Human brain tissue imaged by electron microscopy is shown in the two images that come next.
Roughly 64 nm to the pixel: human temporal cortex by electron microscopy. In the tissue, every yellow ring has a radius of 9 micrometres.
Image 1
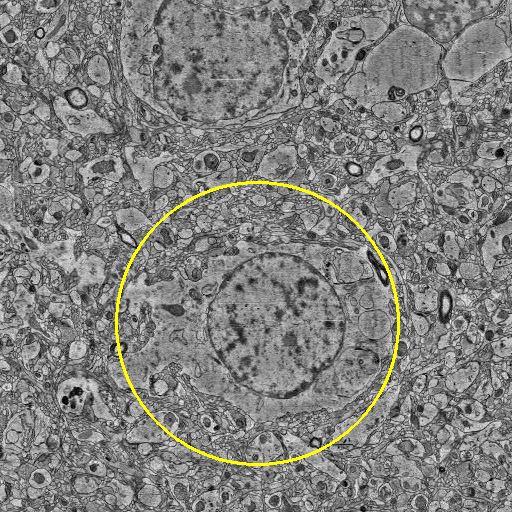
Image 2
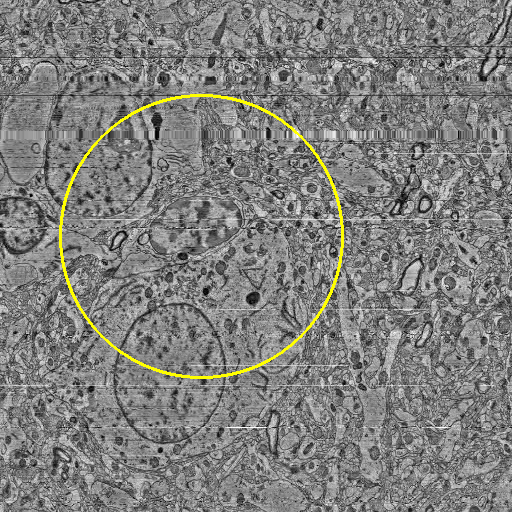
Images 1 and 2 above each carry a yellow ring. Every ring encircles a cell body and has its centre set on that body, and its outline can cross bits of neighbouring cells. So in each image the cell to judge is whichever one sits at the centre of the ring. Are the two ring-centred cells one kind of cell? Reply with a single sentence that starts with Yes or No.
No, in Image 1 and Image 2 the cells at the centres of their rings fall into two types.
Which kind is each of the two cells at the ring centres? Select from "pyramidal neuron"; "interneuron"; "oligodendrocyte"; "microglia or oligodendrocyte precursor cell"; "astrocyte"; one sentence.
The cell at the centre of the ring is an astrocyte in the first picture and a microglial cell or oligodendrocyte precursor cell in the second.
